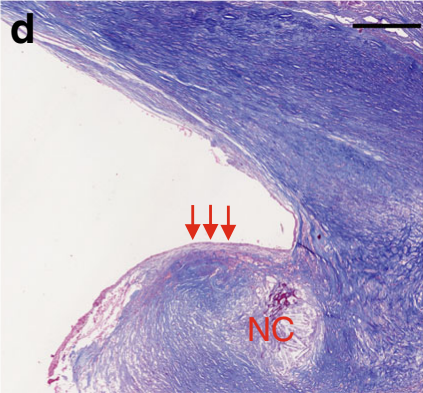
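Section of a diseased artery wall in which a rounded plaque bulges into the lumen, the wall stained mostly blue. A thin fibrous cap at the luminal surface of the plaque covers a paler underlying core with patchy pink-red staining.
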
